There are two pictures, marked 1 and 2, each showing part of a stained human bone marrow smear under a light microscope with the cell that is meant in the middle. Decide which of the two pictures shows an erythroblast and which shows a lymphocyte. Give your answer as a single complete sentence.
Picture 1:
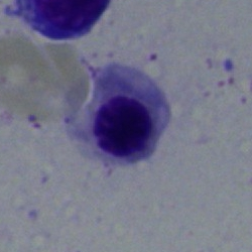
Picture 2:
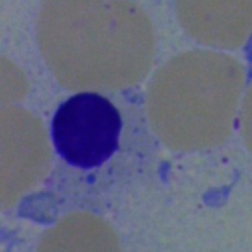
The cell in picture 1 is an erythroblast, and the one in picture 2 is a lymphocyte.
